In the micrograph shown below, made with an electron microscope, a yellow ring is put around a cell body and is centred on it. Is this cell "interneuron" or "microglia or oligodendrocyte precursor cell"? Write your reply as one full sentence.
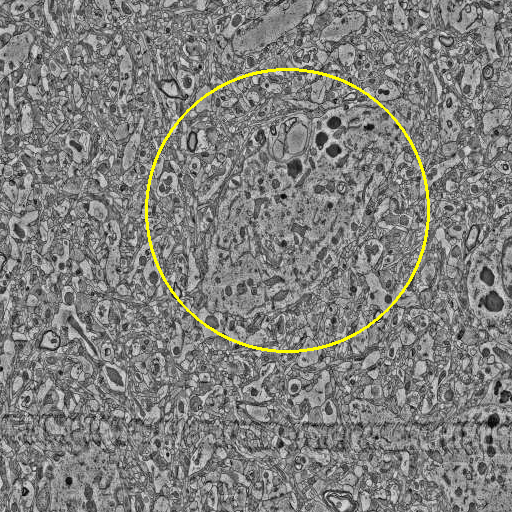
In the micrograph, an interneuron is the cell at the centre of the yellow ring.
